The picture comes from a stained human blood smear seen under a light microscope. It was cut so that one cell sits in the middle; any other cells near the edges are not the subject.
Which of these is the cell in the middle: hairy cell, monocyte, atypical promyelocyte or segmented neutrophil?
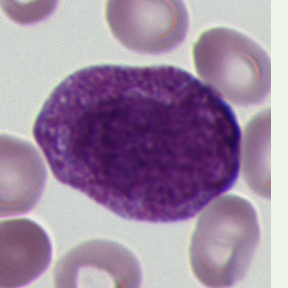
atypical promyelocyte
